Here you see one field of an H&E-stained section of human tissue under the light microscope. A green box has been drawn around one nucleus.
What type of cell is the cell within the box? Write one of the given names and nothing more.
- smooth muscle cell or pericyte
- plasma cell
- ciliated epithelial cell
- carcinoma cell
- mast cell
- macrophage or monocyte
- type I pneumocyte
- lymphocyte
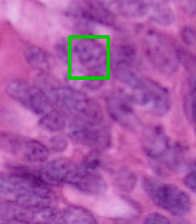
ciliated epithelial cell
